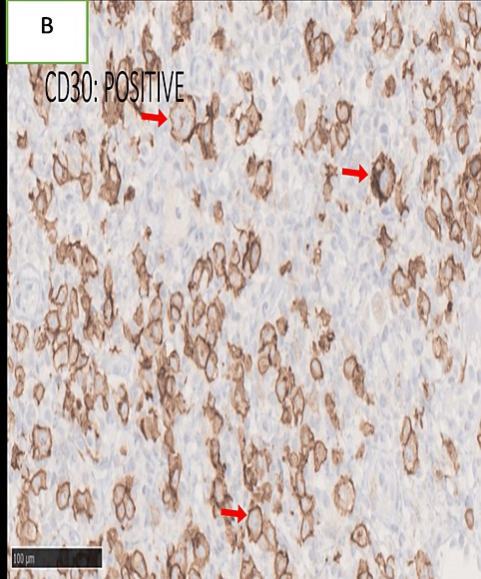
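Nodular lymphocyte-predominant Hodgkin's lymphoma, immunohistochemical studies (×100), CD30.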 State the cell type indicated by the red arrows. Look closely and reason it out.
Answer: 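Atypical cells. The arrowed cells are large, with brown rings of stain around their borders. They are clearly larger than the small, unstained cells with blue nuclei around them.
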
